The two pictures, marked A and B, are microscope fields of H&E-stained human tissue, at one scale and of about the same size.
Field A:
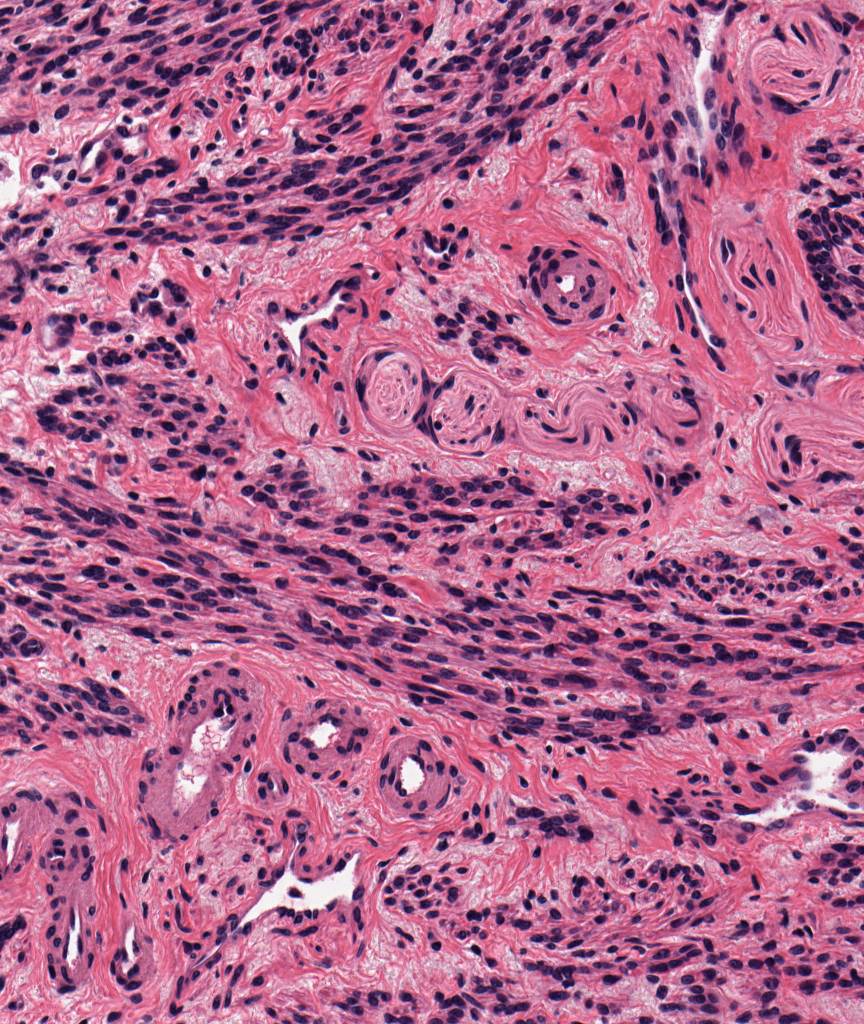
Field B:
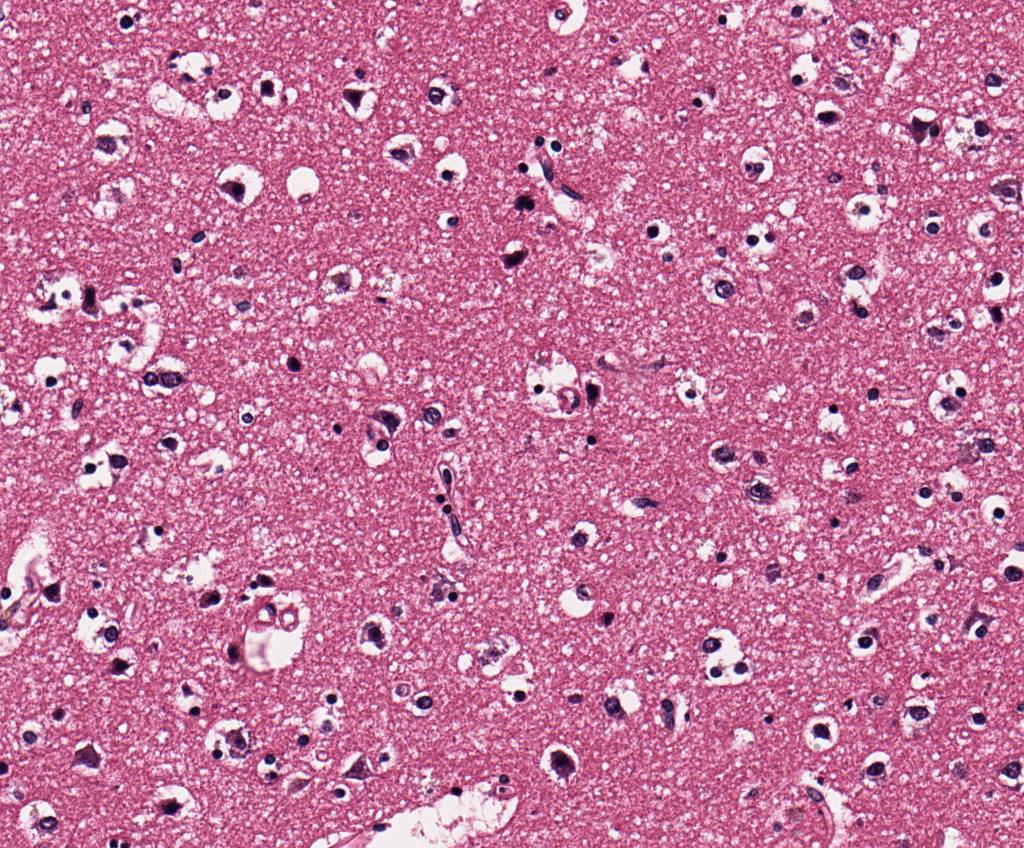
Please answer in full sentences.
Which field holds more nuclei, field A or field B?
The larger number of nuclei is in field A.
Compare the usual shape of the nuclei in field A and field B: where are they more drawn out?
The nuclei are more elongated in field A.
